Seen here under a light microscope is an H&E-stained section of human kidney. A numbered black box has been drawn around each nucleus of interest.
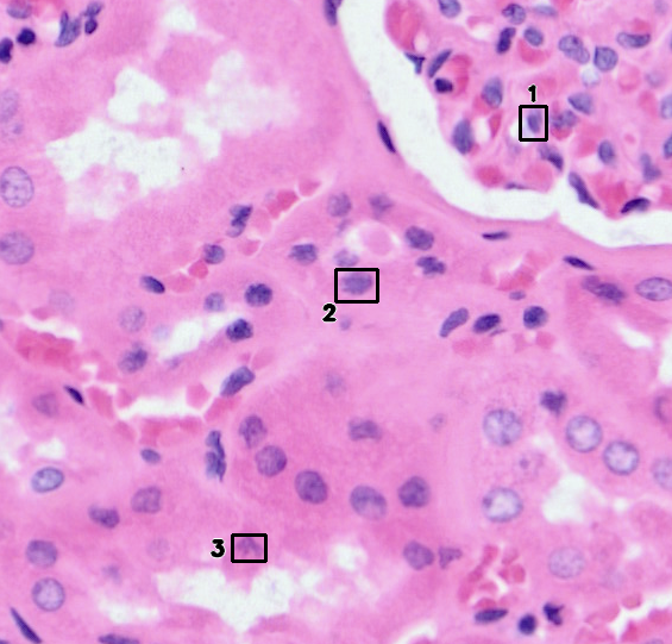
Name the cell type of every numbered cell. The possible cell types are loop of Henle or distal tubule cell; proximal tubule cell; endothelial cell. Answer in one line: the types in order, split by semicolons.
endothelial cell; loop of Henle or distal tubule cell; proximal tubule cell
